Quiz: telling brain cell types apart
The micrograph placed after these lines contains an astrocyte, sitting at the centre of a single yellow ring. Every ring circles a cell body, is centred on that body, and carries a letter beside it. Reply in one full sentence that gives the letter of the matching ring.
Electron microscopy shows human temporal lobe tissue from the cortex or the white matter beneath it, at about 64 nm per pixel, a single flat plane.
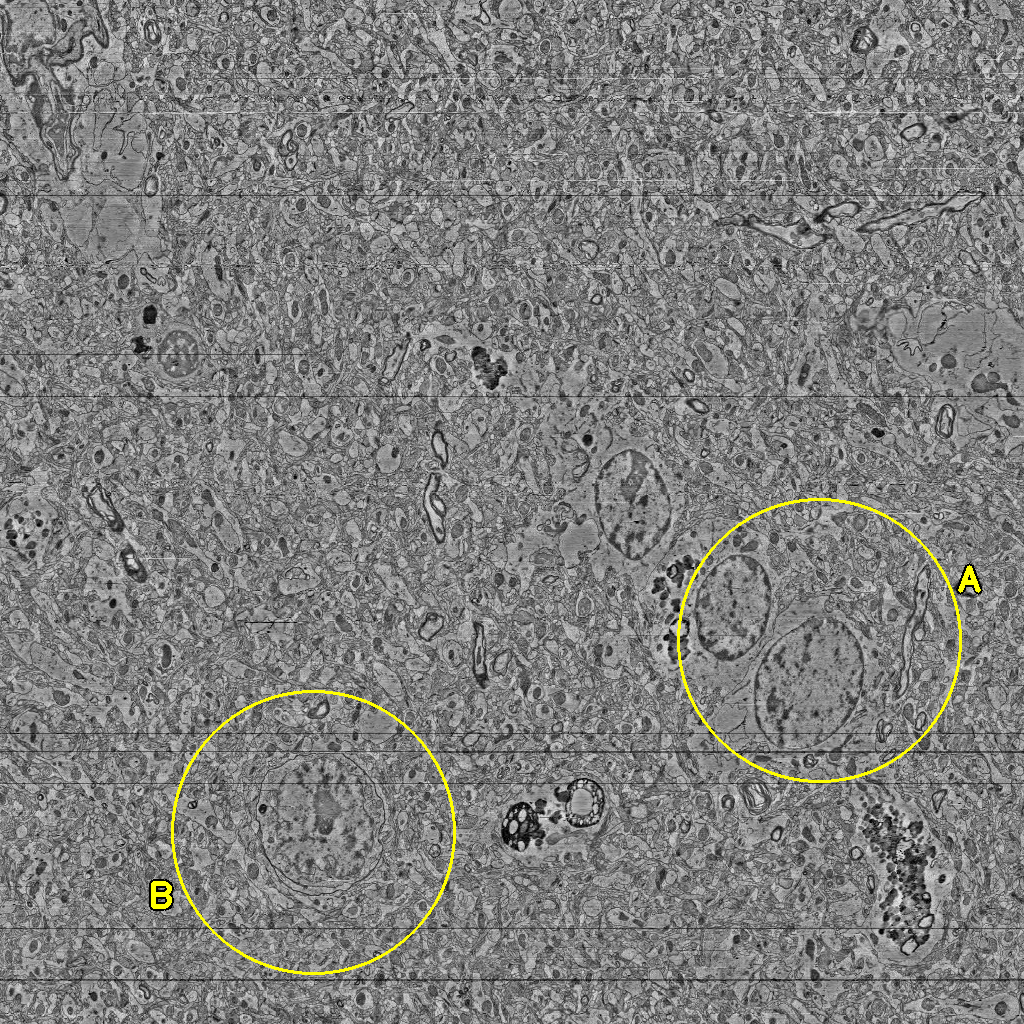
The cell asked for lies at the centre of ring A in the picture.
